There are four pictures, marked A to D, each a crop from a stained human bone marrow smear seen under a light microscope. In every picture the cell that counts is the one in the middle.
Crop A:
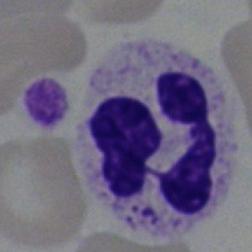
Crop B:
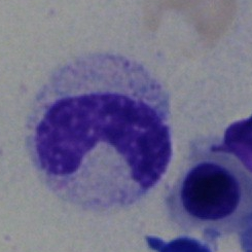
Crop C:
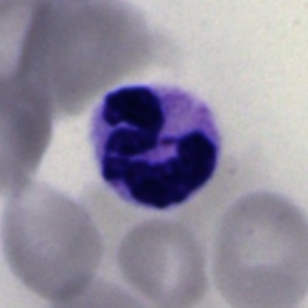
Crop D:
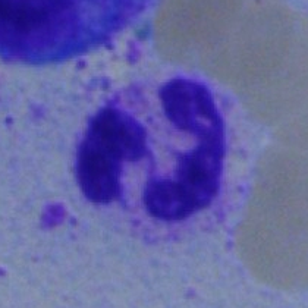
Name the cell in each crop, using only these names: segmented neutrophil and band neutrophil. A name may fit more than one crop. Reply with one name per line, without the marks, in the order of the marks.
segmented neutrophil
band neutrophil
segmented neutrophil
segmented neutrophil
